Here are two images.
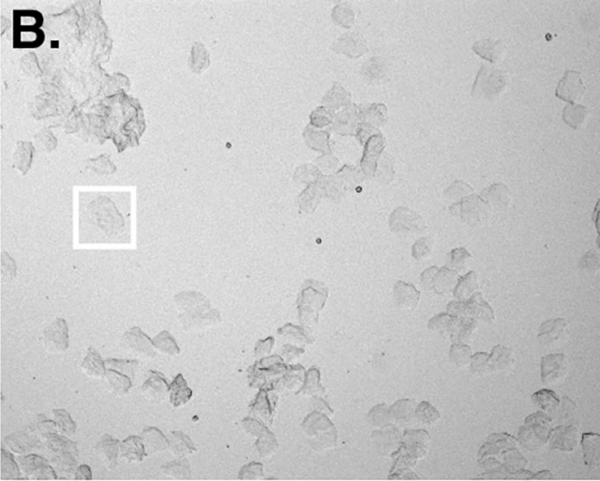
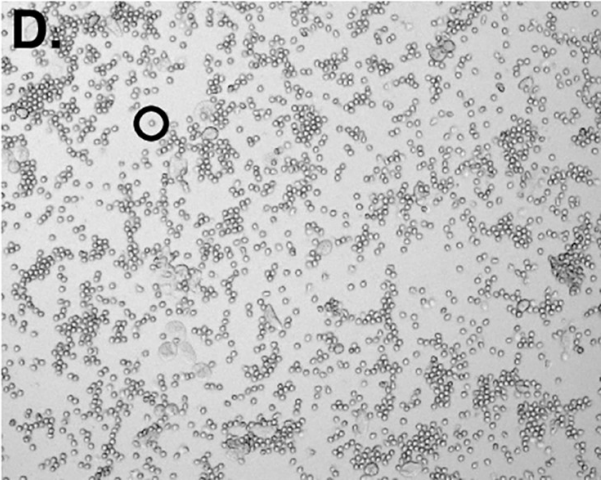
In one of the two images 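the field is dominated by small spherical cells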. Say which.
The second image.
